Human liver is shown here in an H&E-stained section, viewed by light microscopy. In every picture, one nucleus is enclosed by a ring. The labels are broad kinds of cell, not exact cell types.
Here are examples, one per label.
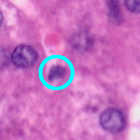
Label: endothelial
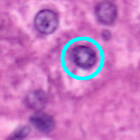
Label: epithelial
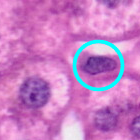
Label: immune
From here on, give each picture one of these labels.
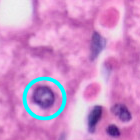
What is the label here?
epithelial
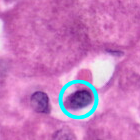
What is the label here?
immune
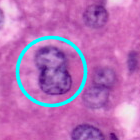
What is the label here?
epithelial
